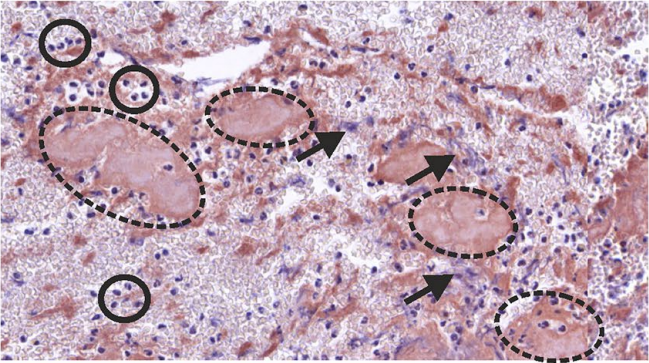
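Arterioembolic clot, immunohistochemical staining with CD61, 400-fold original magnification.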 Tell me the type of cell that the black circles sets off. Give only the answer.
Intact neutrophils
